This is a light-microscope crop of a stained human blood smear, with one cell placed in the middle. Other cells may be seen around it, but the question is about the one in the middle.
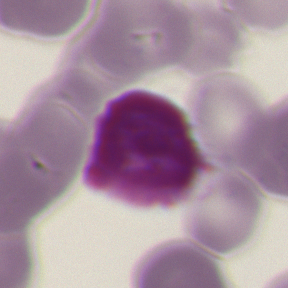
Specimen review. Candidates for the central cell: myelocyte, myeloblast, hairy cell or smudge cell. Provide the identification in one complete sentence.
Positioned in the middle of the crop is a smudge cell.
